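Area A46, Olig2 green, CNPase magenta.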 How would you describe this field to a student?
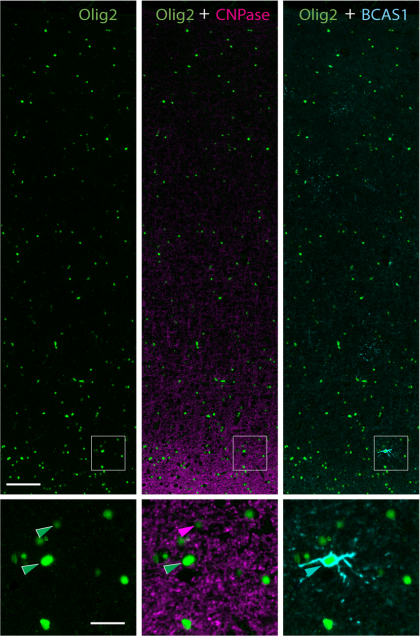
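Cortical section with oligodendrocytes seen as small round green nuclei scattered singly through the whole depth of the cortex. Magenta fibrous staining is faint near the surface and becomes denser in the deepest part of the section. Cyan staining is sparse, and the enlarged box shows a single cell with a green nucleus and several thin branching cyan processes. Other enlarged green nuclei lie among the magenta mesh, some with magenta close around them.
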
